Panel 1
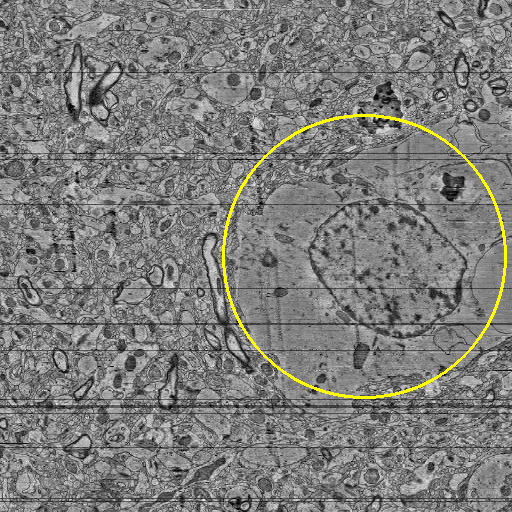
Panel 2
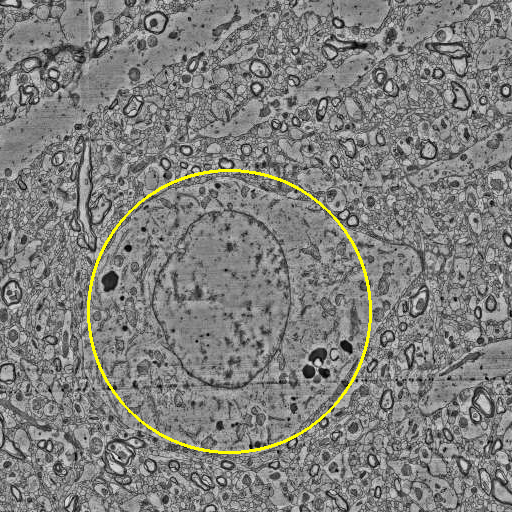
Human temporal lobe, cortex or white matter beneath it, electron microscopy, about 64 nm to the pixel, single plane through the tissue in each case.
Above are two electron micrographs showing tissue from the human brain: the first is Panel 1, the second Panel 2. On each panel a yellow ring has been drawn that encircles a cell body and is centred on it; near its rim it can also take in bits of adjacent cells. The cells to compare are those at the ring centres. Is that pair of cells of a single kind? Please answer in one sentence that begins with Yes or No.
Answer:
No, the ring-centred cells of Panel 1 and Panel 2 belong to two kinds.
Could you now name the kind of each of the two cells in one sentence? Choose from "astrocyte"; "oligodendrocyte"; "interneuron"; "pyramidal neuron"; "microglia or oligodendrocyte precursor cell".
The first ring encloses an astrocyte; the second ring encloses a pyramidal neuron.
